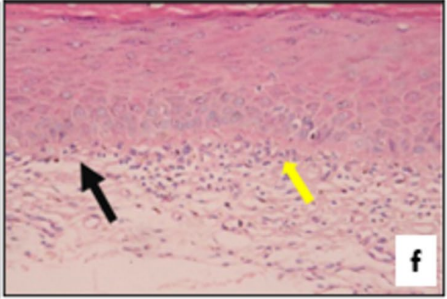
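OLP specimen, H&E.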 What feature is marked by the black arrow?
epithelial-connective tissue junction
